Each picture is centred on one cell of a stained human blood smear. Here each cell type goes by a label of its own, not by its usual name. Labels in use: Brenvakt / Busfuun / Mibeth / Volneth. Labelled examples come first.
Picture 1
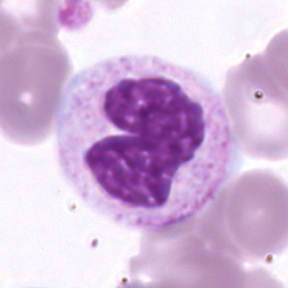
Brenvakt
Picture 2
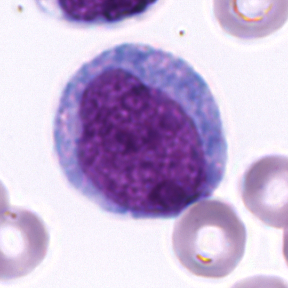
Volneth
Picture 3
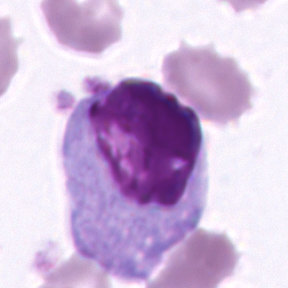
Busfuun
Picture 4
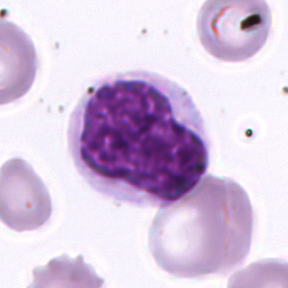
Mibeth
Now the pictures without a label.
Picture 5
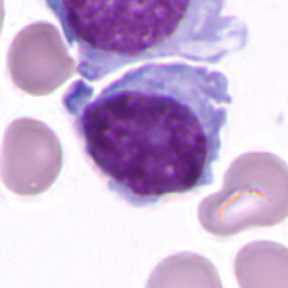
Busfuun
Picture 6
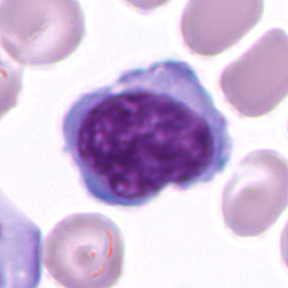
Busfuun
